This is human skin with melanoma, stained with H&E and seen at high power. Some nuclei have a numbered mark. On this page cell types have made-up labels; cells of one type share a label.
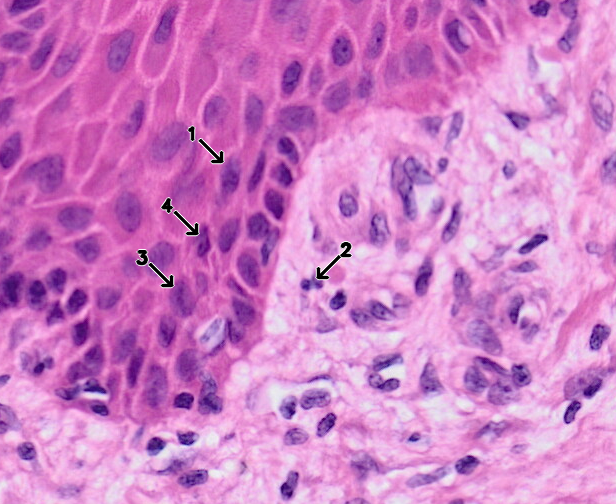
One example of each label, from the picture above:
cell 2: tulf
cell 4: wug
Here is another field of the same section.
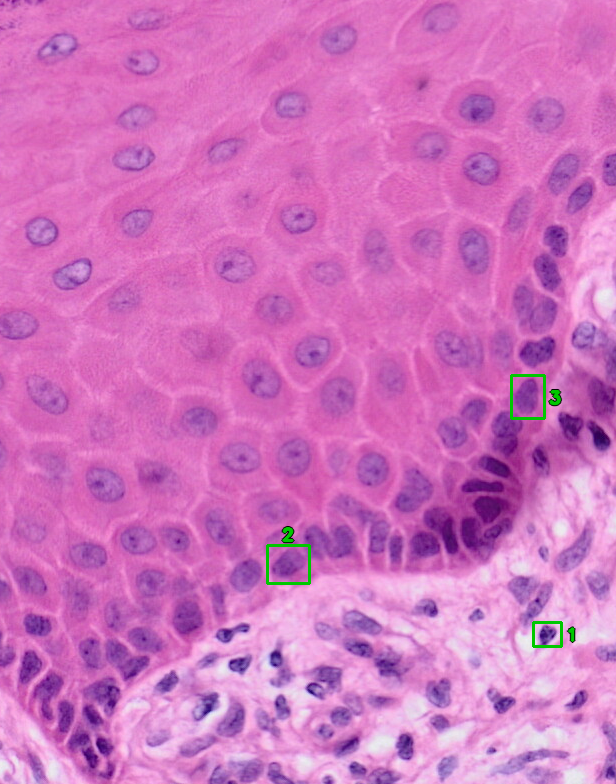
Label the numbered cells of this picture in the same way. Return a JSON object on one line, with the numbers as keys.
{"1": "tulf", "2": "wug", "3": "wug"}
